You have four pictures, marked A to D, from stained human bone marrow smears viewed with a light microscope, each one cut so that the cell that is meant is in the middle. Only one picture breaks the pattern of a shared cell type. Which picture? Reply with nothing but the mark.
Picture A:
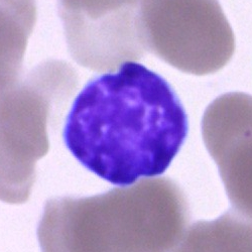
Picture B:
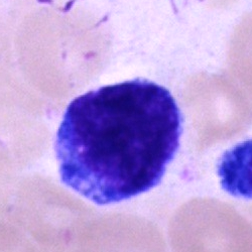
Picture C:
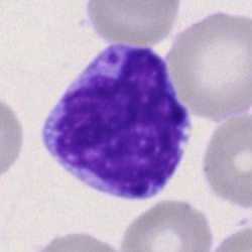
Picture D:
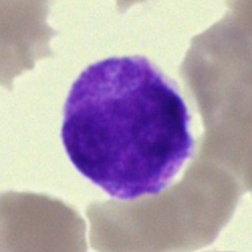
A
